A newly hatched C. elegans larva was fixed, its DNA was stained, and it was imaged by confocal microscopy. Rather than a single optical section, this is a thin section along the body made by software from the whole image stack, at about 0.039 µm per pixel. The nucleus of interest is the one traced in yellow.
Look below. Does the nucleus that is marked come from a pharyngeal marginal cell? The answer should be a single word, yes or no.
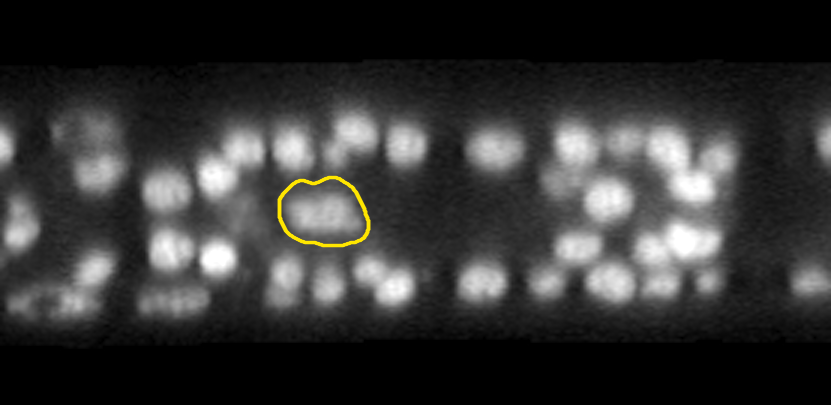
yes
